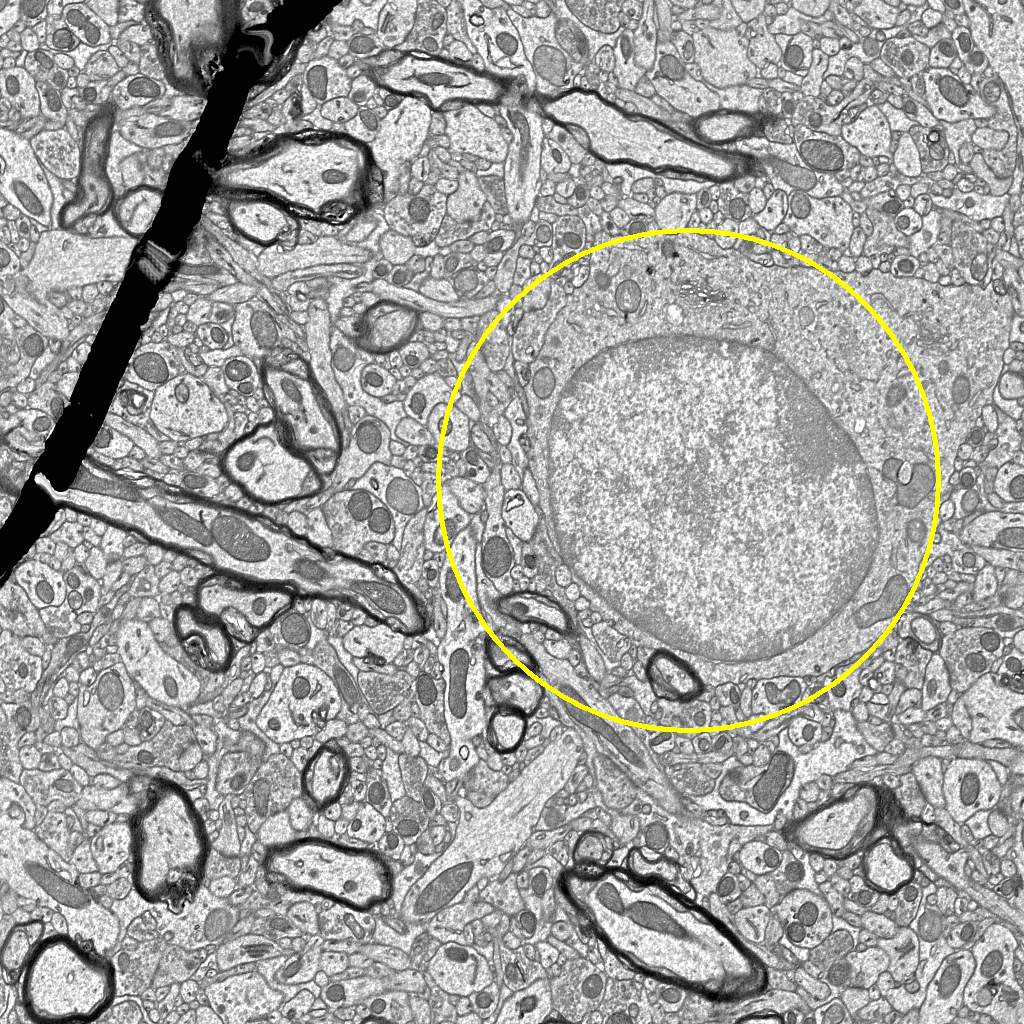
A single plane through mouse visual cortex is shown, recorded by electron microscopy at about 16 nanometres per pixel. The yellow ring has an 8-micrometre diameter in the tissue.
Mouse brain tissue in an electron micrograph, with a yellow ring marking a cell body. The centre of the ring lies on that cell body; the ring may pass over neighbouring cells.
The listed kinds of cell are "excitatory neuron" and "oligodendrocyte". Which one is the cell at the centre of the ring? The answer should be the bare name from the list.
oligodendrocyte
